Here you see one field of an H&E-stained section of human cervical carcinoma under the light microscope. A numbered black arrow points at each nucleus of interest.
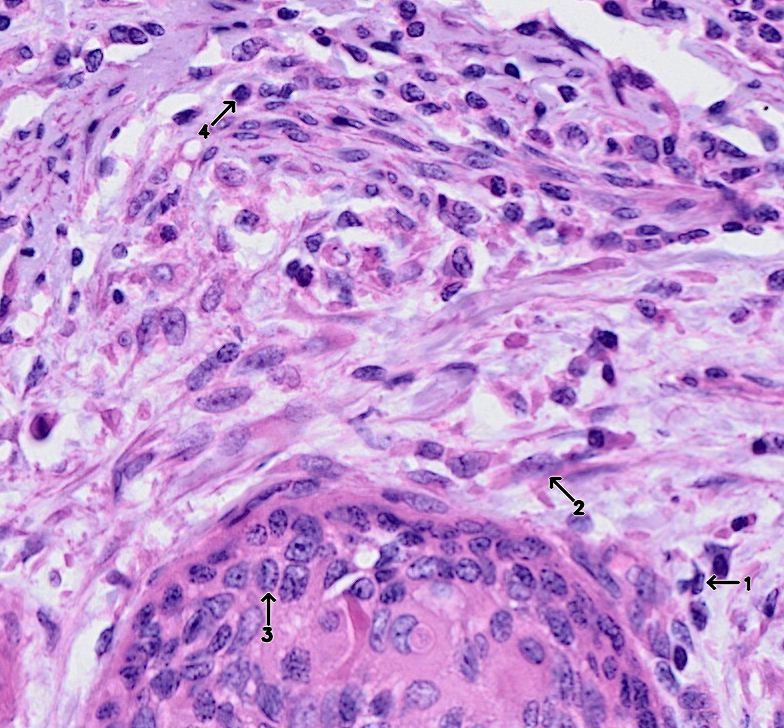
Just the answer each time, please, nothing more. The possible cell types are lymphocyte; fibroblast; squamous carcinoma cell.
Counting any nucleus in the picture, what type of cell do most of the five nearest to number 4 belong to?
fibroblast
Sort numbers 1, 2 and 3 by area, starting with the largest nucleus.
2, 3, 1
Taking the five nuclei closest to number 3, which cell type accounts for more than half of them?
squamous carcinoma cell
